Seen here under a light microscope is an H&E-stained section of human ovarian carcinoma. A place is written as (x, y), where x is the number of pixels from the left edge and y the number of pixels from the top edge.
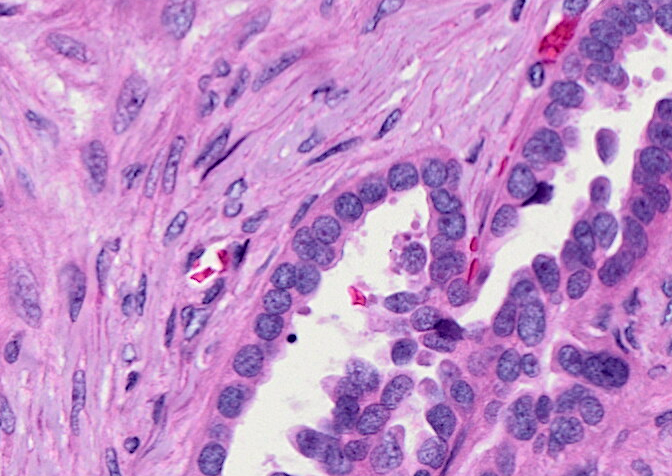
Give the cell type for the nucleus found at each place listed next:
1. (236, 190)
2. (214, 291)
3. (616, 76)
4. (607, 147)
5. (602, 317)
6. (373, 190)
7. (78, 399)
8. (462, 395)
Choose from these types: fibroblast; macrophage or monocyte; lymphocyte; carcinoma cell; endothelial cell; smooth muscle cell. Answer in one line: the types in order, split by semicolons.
fibroblast; endothelial cell; carcinoma cell; carcinoma cell; fibroblast; carcinoma cell; fibroblast; carcinoma cell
